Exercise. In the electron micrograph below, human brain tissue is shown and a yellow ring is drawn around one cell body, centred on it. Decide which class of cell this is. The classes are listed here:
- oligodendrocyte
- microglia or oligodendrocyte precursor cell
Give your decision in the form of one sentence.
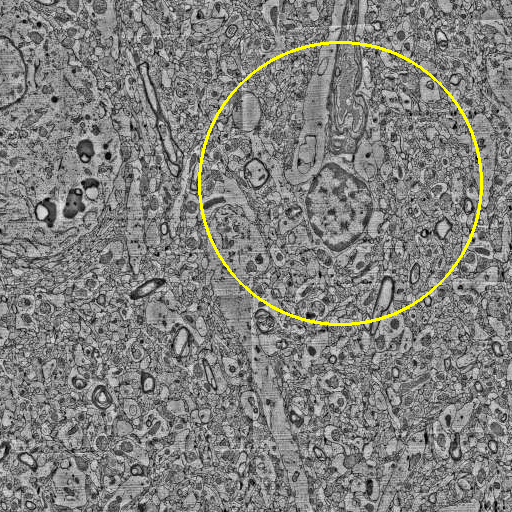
The cell body marked by the ring belongs to a microglial cell or oligodendrocyte precursor cell.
